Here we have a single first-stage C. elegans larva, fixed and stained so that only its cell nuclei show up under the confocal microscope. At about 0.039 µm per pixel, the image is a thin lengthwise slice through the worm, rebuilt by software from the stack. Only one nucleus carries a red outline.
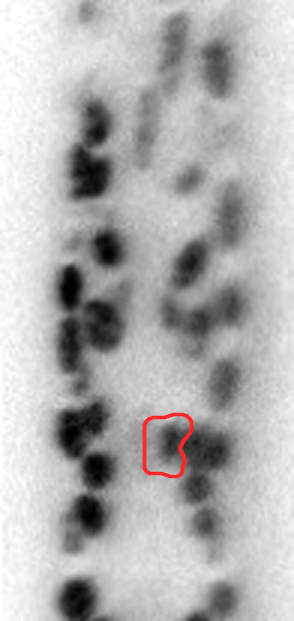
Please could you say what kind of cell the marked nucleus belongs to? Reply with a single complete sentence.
The marked nucleus belongs to a neuron.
